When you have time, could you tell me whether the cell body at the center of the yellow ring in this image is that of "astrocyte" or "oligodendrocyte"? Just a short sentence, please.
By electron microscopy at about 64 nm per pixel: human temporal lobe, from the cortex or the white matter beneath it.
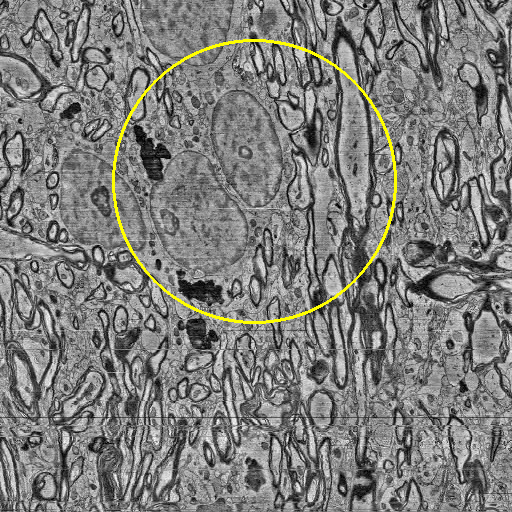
The cell body at the center of the ring is that of an oligodendrocyte.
